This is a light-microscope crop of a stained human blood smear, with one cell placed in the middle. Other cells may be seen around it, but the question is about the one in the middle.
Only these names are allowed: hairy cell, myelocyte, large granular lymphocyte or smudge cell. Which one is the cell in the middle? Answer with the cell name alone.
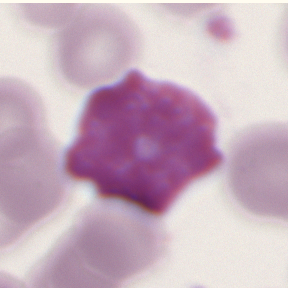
smudge cell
